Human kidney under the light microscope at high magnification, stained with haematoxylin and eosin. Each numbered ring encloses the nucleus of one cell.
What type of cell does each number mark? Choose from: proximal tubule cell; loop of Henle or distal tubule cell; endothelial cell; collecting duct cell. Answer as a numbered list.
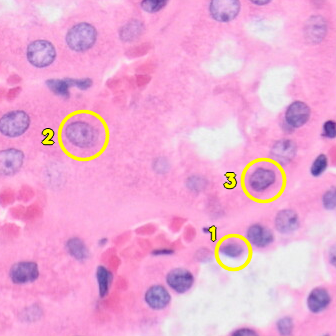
1. loop of Henle or distal tubule cell
2. proximal tubule cell
3. proximal tubule cell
